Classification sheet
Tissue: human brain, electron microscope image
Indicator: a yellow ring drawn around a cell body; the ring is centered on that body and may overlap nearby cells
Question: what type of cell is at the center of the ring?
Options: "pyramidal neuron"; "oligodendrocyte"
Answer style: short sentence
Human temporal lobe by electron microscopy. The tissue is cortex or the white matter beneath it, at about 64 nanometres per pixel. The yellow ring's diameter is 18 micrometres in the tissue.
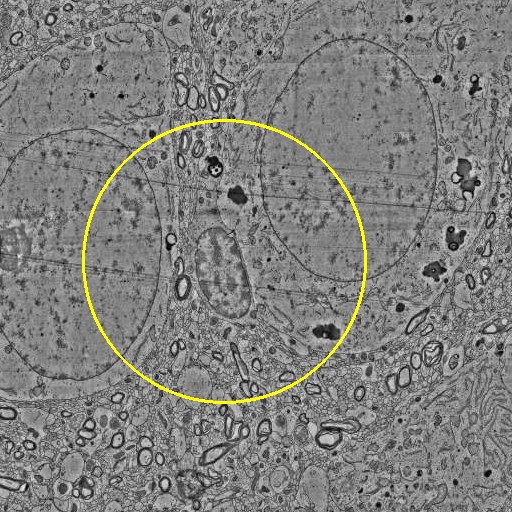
At the ring's center is an oligodendrocyte.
